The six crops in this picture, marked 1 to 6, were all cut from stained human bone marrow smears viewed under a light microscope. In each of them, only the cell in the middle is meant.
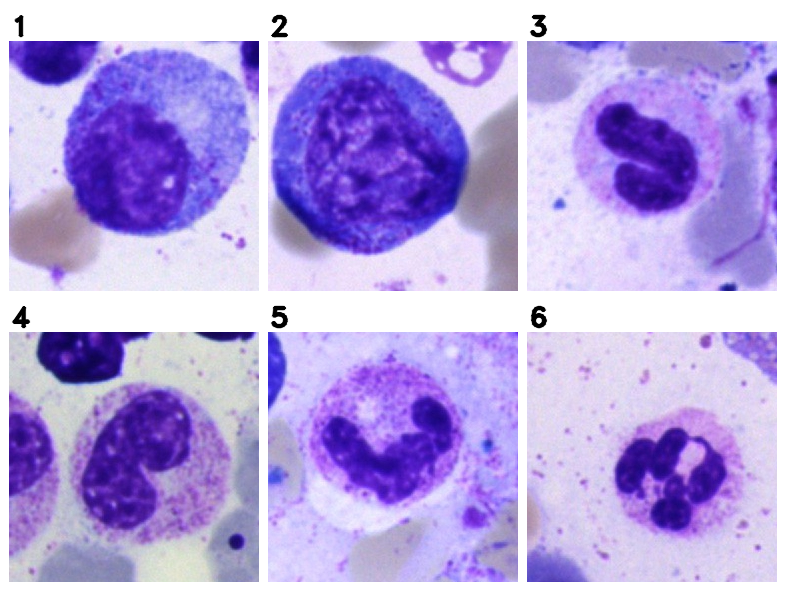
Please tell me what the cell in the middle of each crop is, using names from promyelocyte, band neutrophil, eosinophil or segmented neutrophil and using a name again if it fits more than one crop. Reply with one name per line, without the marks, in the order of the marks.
promyelocyte
promyelocyte
band neutrophil
band neutrophil
segmented neutrophil
segmented neutrophil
